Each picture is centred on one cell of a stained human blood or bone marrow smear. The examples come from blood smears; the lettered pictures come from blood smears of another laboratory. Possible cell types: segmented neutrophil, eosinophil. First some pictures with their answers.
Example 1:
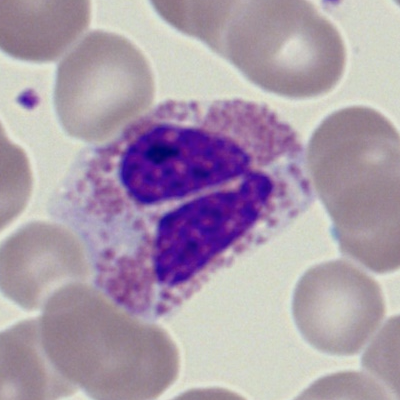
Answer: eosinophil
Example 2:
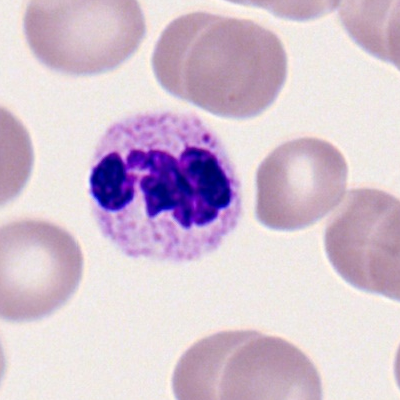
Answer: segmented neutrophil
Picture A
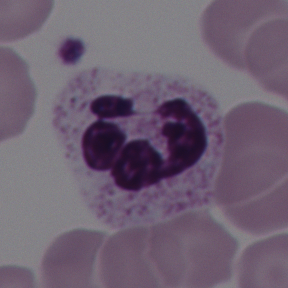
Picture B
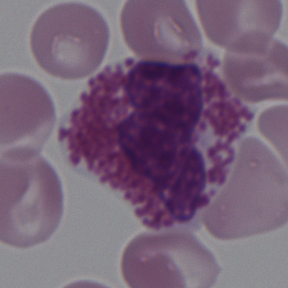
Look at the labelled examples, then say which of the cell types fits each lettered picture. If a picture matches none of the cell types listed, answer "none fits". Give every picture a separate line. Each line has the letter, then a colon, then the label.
A: segmented neutrophil
B: eosinophil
